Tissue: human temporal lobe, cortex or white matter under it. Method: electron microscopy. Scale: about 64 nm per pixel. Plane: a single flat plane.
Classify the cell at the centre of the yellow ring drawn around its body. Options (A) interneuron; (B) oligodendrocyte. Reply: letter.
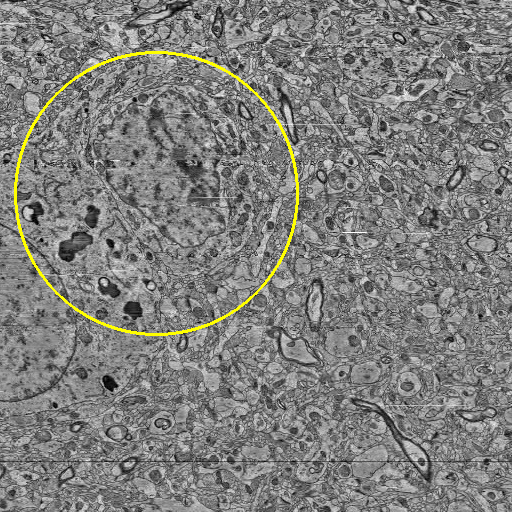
A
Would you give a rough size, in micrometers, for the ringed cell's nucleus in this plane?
In this plane, the nucleus is roughly 10 by 8 micrometres.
